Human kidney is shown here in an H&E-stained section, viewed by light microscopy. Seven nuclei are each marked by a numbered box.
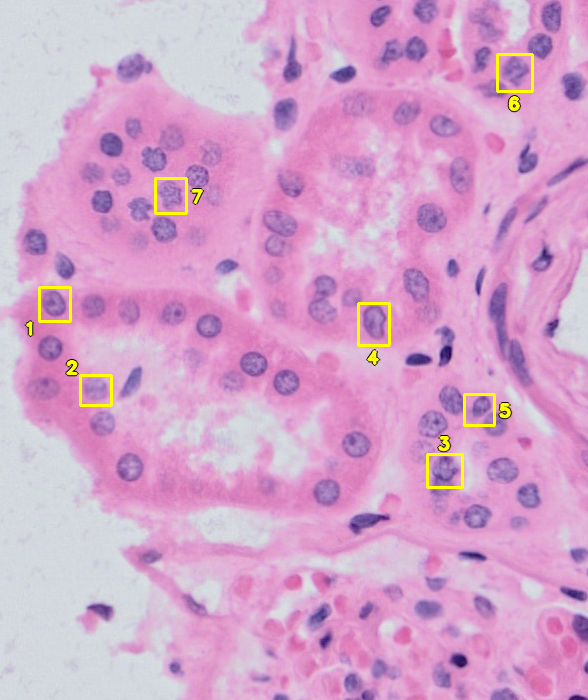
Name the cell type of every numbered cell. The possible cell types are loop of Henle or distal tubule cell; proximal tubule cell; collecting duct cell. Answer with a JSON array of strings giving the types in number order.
["proximal tubule cell", "proximal tubule cell", "collecting duct cell", "proximal tubule cell", "collecting duct cell", "collecting duct cell", "loop of Henle or distal tubule cell"]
